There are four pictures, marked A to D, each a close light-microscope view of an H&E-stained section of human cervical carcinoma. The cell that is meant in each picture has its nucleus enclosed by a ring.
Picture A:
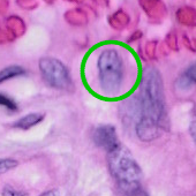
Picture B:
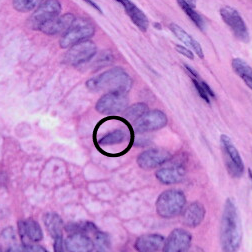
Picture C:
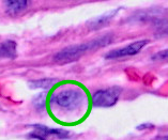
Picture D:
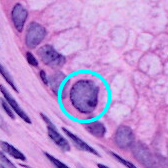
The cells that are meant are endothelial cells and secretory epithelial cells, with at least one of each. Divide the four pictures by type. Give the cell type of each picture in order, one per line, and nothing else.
endothelial cell
secretory epithelial cell
endothelial cell
secretory epithelial cell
